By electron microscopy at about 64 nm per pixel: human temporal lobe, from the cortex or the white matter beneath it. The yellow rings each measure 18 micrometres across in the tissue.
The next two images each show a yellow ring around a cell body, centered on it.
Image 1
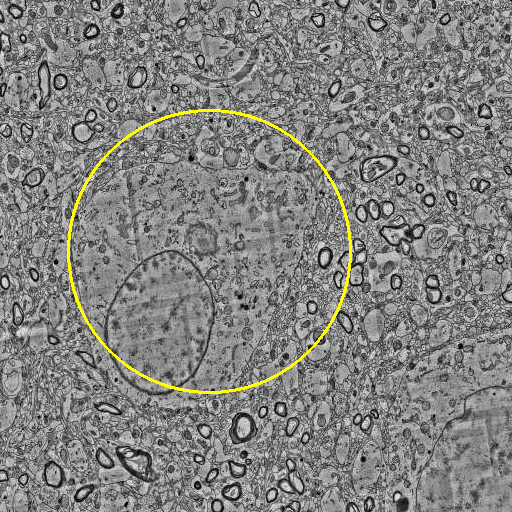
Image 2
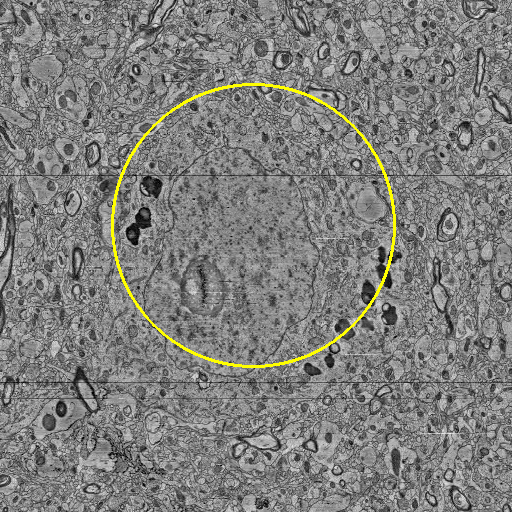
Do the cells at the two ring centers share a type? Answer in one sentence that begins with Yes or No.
No, across the two images the cells at the ring centers are of two types.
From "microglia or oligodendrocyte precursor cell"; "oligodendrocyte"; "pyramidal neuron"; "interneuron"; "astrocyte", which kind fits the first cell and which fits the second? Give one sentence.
The cell marked in the first picture is an oligodendrocyte, and the one marked in the second is a pyramidal neuron.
